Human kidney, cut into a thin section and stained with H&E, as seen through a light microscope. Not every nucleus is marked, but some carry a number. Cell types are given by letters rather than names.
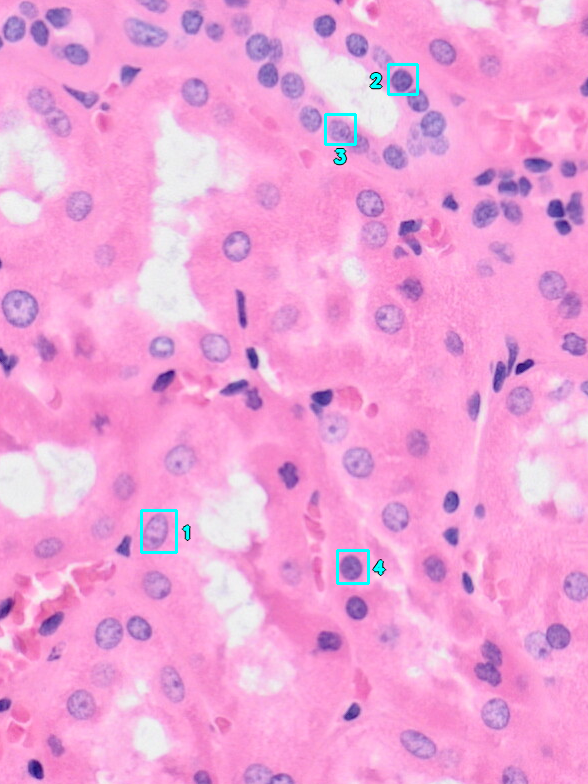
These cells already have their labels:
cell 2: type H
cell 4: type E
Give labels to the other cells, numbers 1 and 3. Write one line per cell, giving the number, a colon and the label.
1: type E
3: type H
